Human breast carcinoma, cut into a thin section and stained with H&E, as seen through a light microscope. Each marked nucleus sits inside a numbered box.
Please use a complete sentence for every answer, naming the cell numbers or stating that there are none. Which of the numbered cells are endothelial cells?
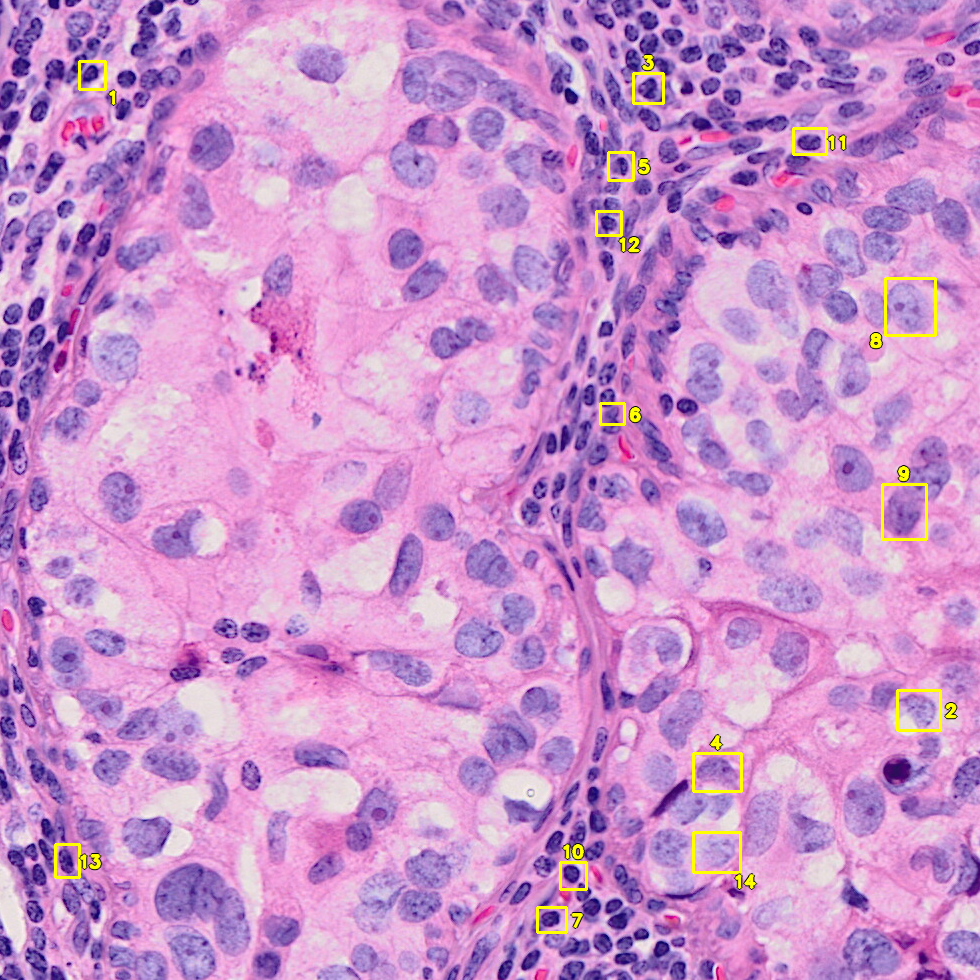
Cell 6 is an endothelial cell, while every other numbered cell is not.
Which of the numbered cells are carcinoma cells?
The cells numbered 2, 4, 8, 9 and 14 are, by type, carcinoma cells.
